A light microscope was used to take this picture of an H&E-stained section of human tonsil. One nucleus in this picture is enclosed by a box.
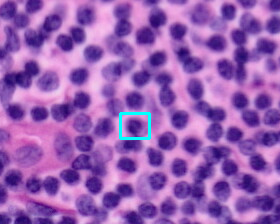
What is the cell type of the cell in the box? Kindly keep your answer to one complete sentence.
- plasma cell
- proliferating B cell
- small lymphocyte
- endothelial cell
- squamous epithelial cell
It is a small lymphocyte that the cell in the box represents.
